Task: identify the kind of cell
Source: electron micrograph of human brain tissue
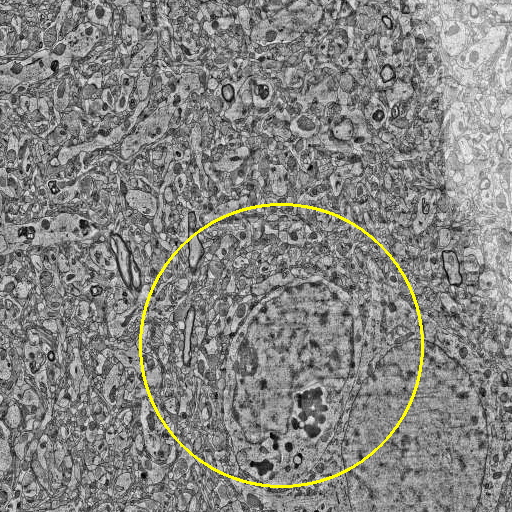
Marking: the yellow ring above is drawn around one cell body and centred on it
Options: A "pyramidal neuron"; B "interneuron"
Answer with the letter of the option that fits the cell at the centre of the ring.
B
